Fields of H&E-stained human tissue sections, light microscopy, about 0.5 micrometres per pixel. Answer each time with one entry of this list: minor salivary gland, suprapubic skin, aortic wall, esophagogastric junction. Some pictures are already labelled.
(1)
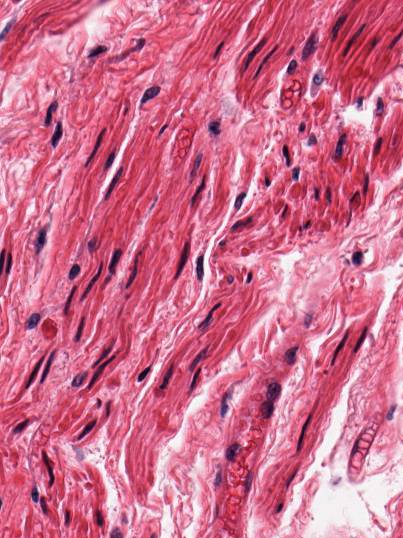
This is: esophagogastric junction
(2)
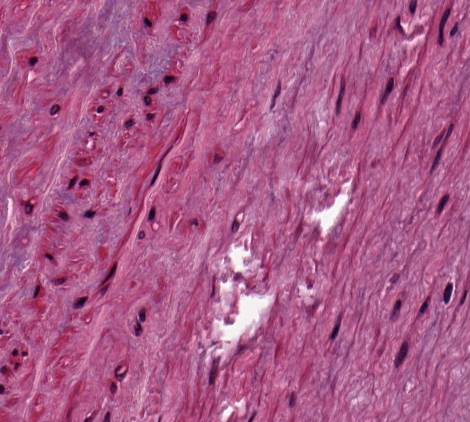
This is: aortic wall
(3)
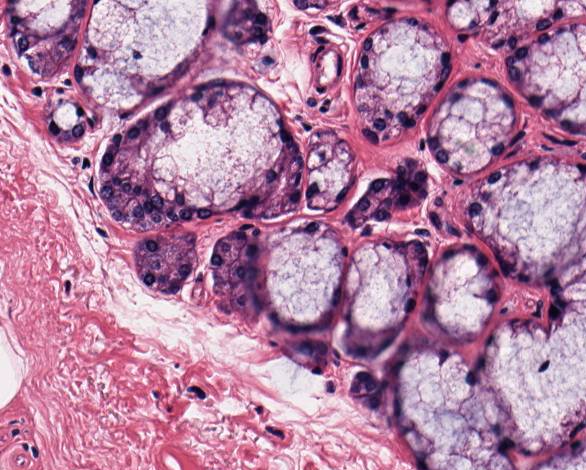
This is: minor salivary gland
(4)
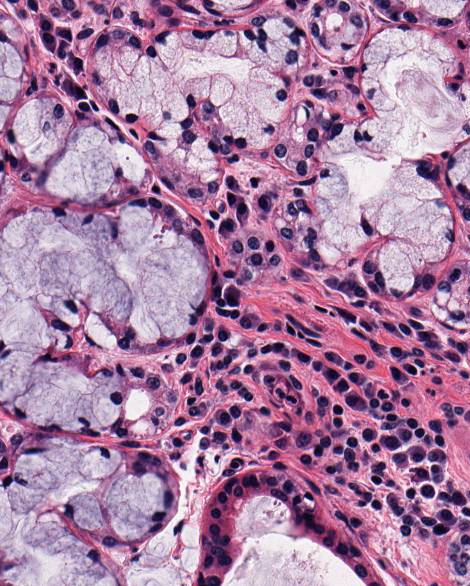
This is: minor salivary gland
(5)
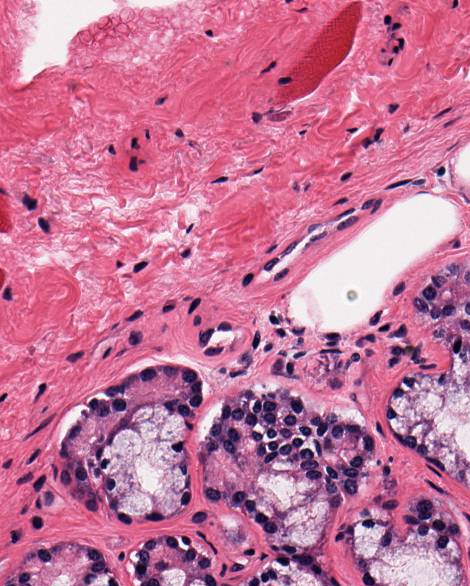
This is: minor salivary gland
